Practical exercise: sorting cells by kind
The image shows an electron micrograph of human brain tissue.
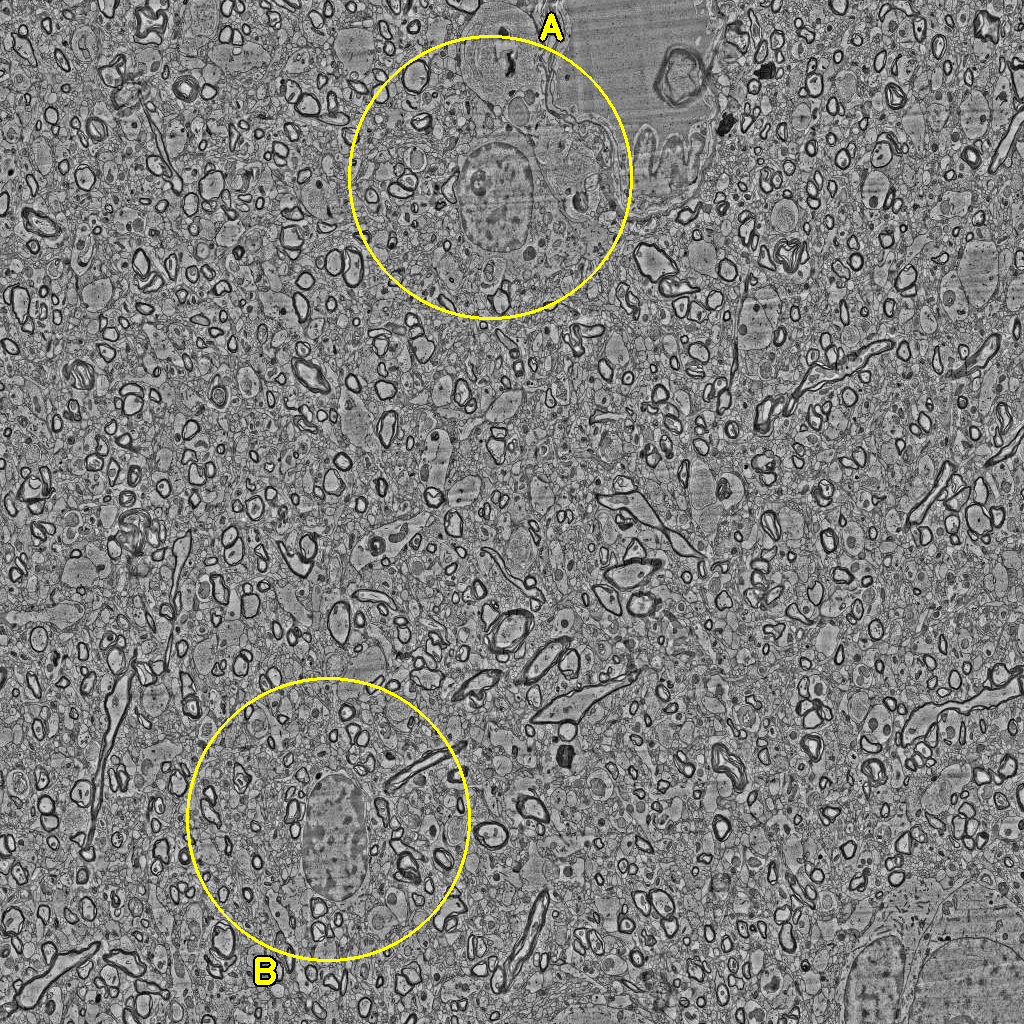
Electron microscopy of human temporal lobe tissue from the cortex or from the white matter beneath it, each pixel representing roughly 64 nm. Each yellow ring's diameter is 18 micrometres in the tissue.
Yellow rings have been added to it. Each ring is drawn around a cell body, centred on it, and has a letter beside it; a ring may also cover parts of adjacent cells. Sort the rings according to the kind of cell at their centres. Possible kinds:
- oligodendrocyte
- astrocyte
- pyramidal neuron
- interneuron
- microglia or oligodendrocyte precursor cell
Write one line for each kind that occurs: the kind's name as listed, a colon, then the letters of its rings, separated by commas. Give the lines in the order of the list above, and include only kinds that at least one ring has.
oligodendrocyte: A
microglia or oligodendrocyte precursor cell: B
